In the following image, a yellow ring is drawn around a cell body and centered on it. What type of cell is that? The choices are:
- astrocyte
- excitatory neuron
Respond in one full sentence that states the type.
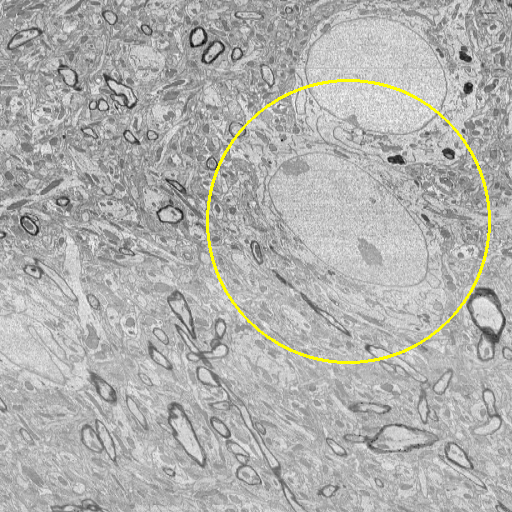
The cell at the center of the yellow ring in the image is an excitatory neuron.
